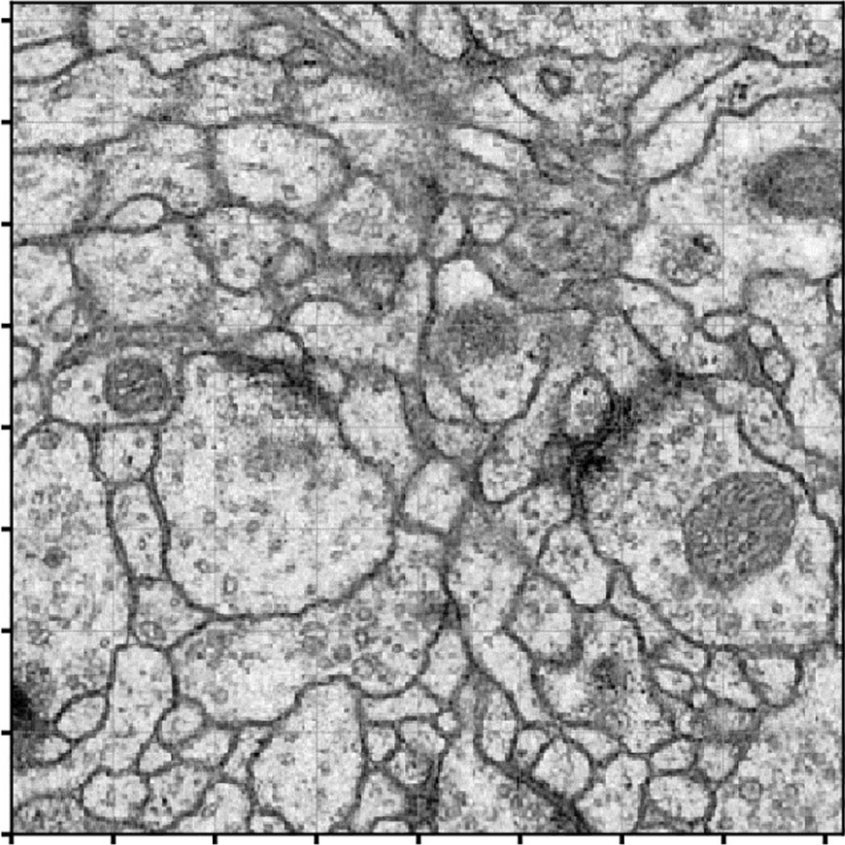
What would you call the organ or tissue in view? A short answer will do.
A: Brain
